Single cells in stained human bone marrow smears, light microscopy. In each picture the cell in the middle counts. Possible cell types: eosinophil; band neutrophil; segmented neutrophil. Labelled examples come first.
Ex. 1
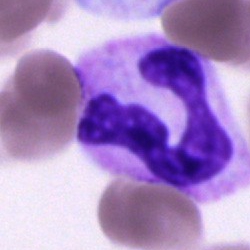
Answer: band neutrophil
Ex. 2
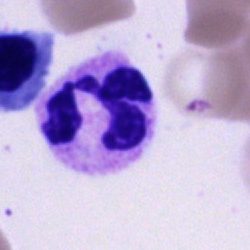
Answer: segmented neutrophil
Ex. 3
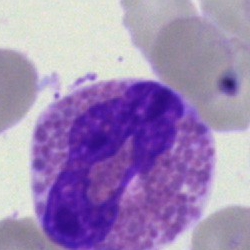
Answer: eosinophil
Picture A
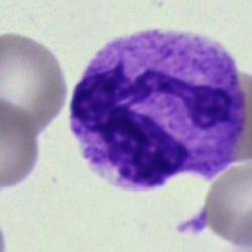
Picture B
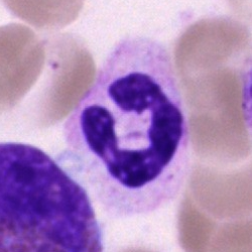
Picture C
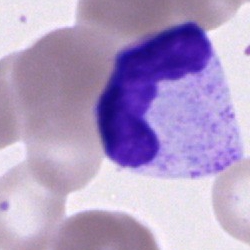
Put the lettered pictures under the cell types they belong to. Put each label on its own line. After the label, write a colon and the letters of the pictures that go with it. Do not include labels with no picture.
band neutrophil: C
segmented neutrophil: A, B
